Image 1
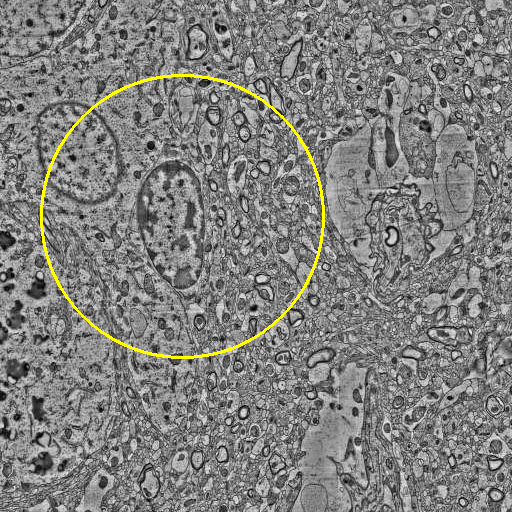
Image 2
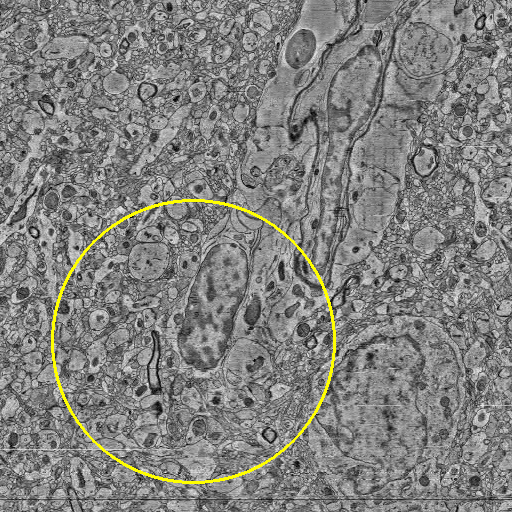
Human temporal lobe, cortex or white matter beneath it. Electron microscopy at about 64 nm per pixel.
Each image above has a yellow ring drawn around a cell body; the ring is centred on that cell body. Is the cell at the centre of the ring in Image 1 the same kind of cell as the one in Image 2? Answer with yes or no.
yes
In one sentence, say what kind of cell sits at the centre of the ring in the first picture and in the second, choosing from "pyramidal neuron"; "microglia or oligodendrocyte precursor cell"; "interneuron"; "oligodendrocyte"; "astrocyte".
The cell in the first picture is a microglial cell or oligodendrocyte precursor cell, and so is the one in the second.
